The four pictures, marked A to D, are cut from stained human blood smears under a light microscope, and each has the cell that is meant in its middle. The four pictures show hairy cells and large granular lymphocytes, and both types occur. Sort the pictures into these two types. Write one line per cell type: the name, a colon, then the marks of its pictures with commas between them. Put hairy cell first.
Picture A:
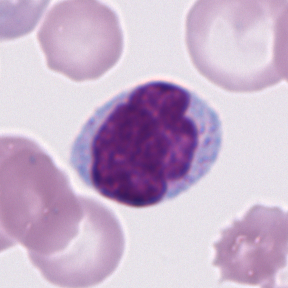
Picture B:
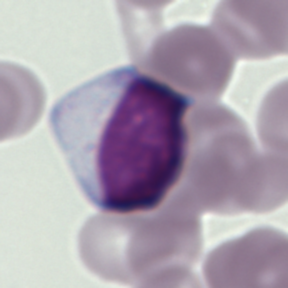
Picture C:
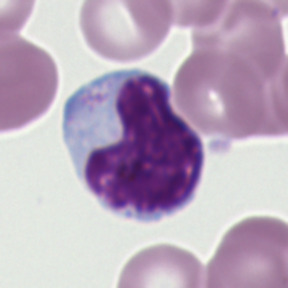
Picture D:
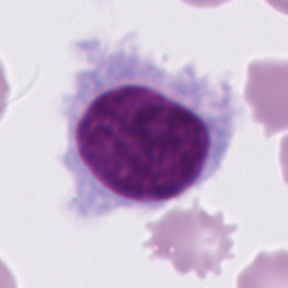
hairy cell: D
large granular lymphocyte: A, B, C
